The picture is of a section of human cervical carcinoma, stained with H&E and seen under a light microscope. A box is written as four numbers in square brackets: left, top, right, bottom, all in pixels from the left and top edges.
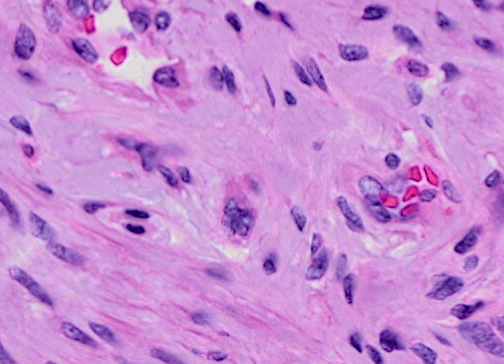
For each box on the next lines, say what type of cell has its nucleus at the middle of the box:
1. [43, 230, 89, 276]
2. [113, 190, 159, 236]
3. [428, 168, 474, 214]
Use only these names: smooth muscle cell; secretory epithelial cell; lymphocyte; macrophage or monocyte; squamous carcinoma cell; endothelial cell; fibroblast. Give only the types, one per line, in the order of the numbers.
smooth muscle cell
lymphocyte
endothelial cell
